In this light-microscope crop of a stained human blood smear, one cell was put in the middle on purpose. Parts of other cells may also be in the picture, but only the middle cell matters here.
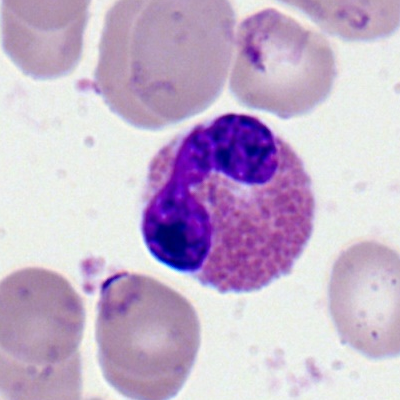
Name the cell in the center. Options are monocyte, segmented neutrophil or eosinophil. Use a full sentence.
The middle cell in this particular crop is an eosinophil.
